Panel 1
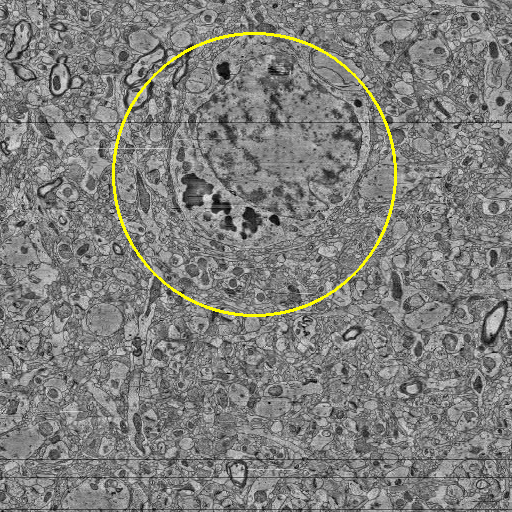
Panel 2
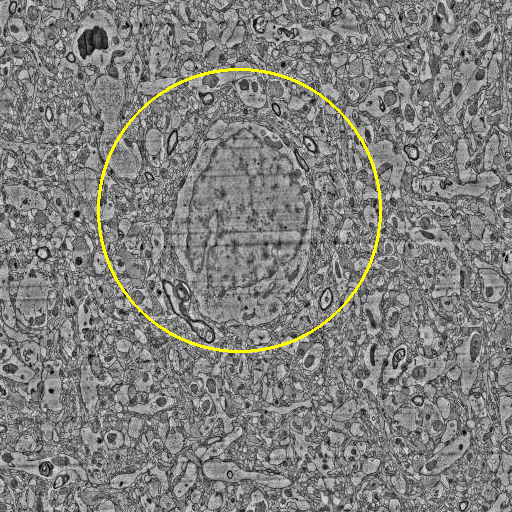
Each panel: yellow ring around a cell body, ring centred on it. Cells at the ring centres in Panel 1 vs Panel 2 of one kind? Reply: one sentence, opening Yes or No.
Yes, Panel 1 and Panel 2 have cells of one kind at the ring centres.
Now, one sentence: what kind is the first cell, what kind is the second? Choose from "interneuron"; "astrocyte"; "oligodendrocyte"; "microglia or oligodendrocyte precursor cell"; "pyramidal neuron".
Each cell, in the first picture and the second, is an interneuron.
